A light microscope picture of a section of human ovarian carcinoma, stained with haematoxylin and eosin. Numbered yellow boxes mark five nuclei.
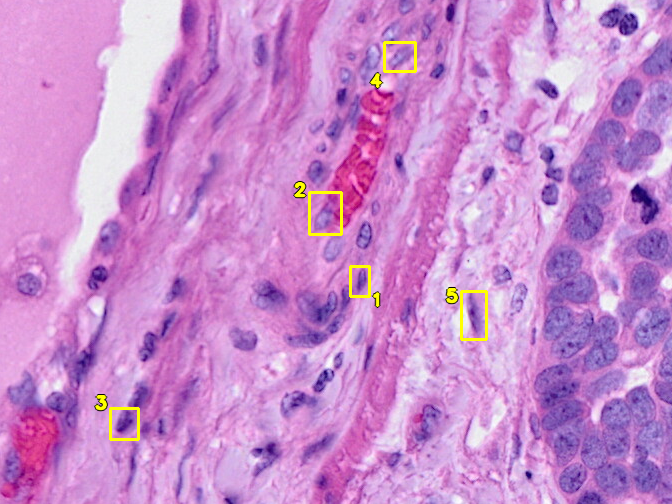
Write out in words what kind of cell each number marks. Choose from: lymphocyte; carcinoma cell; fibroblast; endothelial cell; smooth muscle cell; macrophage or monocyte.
Cell 1 is a smooth muscle cell, cell 2 is an endothelial cell, cell 3 is a lymphocyte, cell 4 is an endothelial cell and cell 5 is a fibroblast.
